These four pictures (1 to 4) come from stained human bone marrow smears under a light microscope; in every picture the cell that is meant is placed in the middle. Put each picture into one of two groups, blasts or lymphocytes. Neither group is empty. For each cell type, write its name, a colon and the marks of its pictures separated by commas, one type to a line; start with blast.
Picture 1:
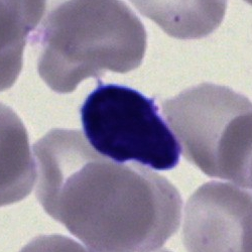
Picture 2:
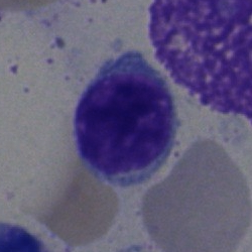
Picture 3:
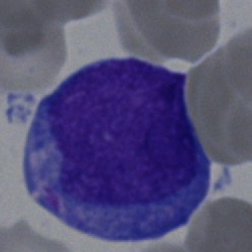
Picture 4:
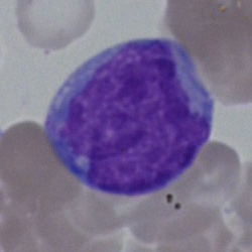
blast: 3, 4
lymphocyte: 1, 2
